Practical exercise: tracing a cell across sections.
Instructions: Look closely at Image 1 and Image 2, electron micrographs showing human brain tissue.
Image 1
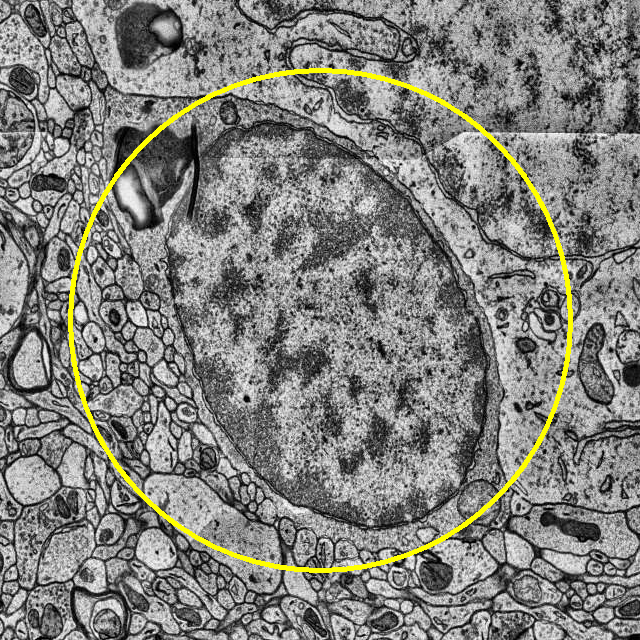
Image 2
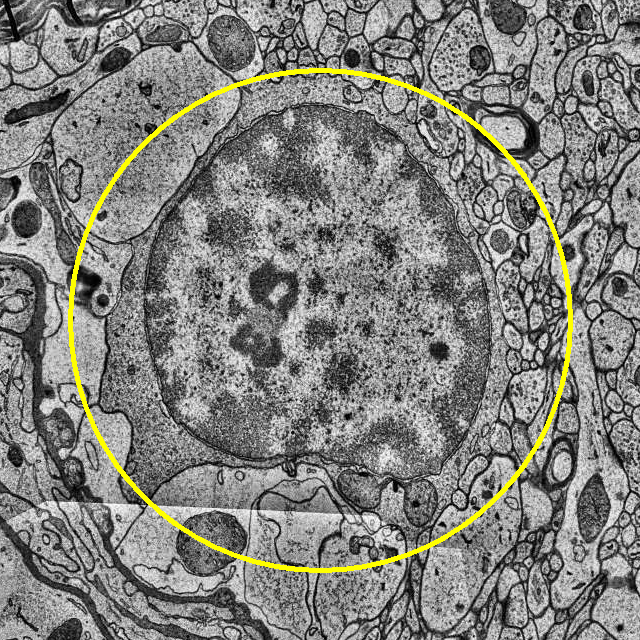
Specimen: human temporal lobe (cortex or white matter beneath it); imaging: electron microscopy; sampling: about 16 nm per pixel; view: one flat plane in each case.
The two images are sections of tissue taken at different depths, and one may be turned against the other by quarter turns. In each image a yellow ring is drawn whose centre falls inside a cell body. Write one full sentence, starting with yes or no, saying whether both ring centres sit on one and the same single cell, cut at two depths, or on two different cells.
No, the two rings are not on the same cell.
